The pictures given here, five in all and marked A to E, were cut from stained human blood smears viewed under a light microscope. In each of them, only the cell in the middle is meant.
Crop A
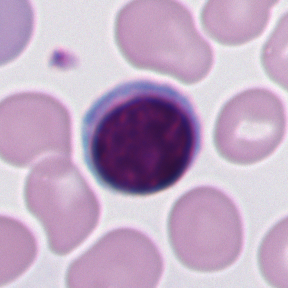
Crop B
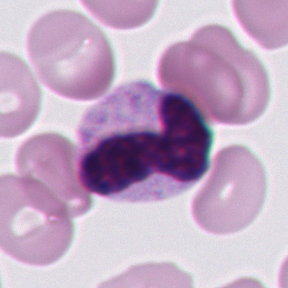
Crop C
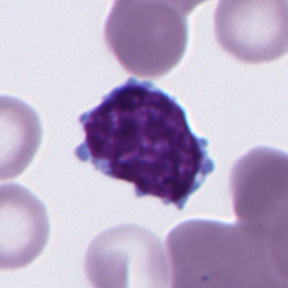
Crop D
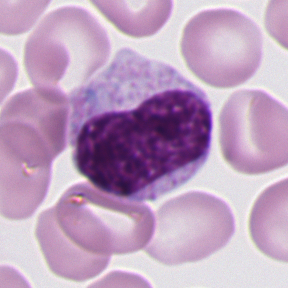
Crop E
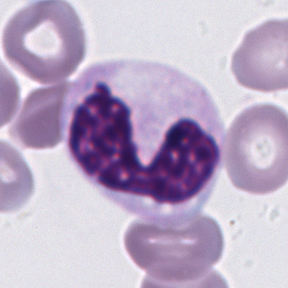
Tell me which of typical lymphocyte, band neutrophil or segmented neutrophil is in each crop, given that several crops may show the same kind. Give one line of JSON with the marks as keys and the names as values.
{"A": "typical lymphocyte", "B": "segmented neutrophil", "C": "typical lymphocyte", "D": "band neutrophil", "E": "band neutrophil"}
